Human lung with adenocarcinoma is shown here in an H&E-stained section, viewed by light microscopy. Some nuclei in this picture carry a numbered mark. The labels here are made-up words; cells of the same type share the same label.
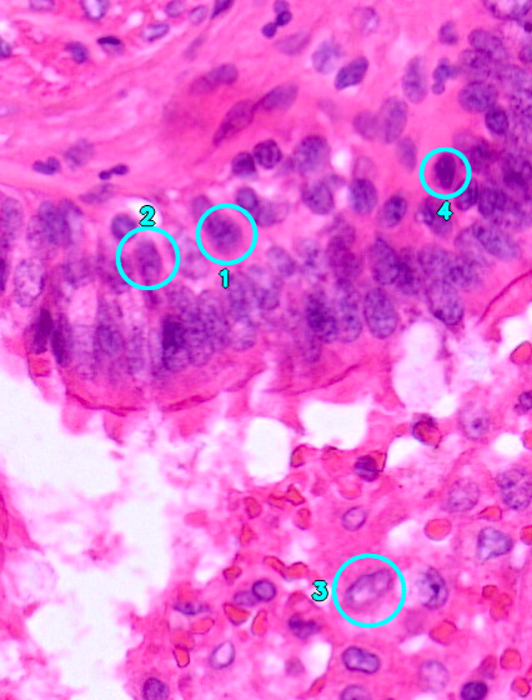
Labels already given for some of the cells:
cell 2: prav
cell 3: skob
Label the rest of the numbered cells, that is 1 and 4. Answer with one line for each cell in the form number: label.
1: prav
4: prav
